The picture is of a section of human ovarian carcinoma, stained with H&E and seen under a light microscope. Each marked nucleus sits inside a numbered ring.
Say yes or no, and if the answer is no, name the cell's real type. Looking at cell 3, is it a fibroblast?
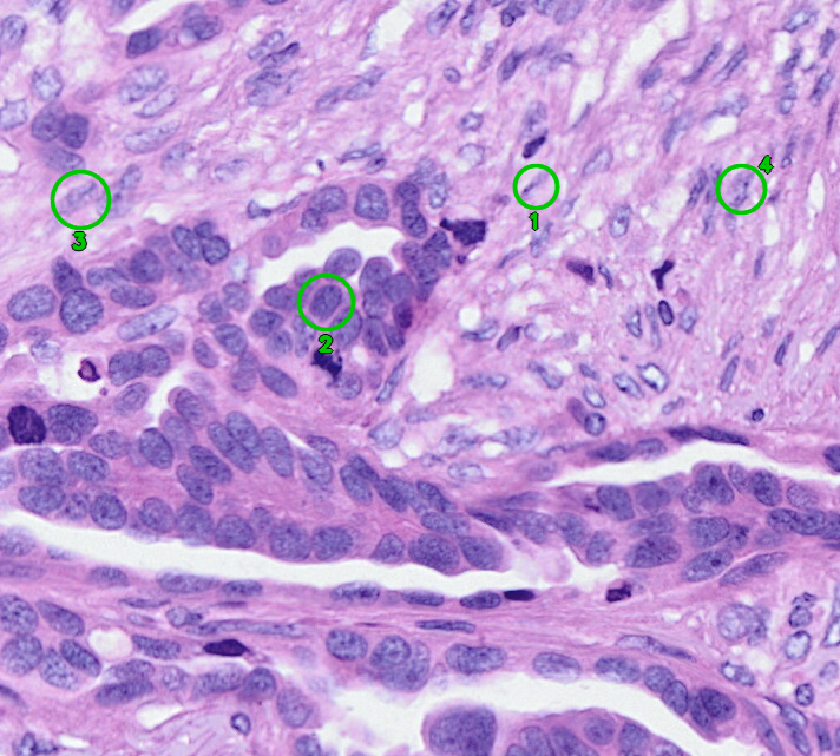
Yes.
